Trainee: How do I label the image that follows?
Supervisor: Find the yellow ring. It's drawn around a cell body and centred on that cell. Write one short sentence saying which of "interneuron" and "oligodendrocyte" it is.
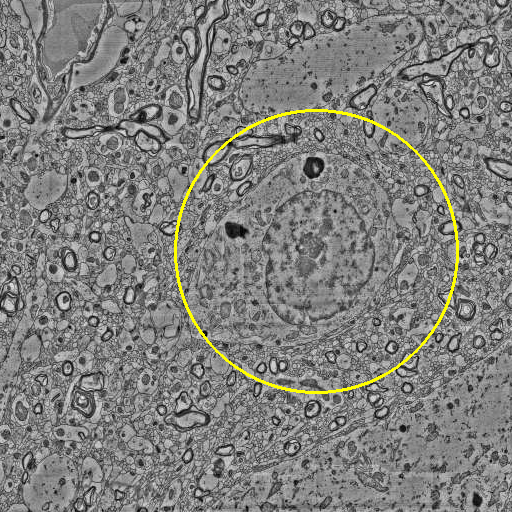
This is the cell body of an interneuron.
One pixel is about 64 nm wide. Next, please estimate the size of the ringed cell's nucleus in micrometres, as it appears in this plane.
About 9 by 7 micrometres in this plane.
